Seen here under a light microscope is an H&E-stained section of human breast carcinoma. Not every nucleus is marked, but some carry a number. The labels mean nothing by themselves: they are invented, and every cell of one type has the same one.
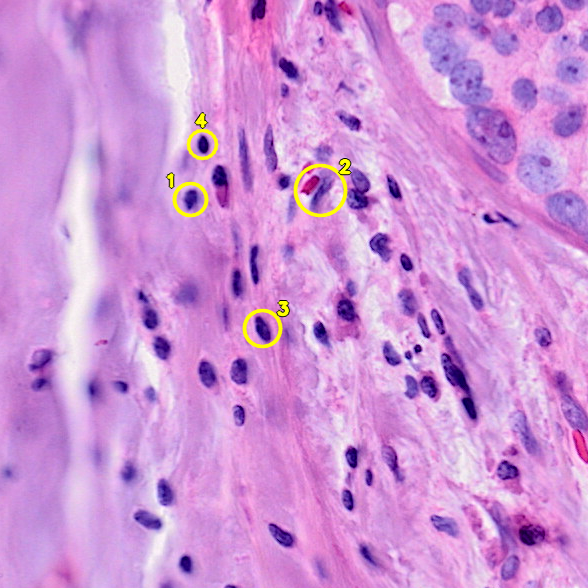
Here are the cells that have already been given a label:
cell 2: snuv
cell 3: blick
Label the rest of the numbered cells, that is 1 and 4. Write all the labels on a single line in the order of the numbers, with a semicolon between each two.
blick; blick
